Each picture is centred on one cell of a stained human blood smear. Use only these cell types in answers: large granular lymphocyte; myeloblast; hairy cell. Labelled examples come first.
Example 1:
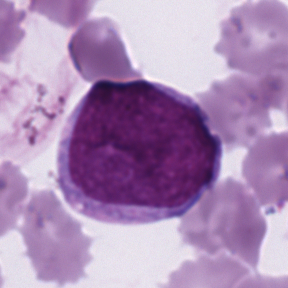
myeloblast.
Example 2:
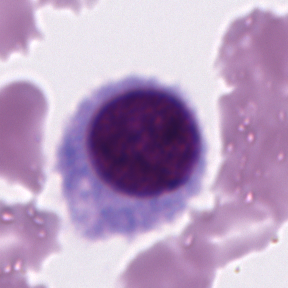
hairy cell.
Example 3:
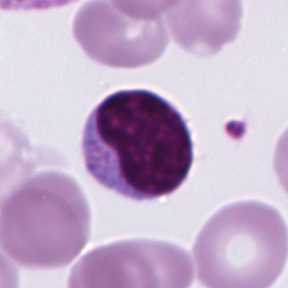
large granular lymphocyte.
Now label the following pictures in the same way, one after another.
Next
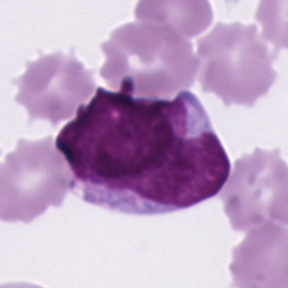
myeloblast.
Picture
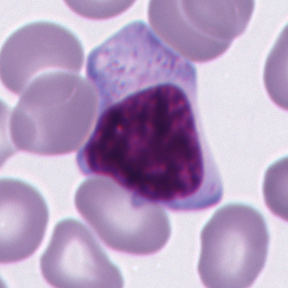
large granular lymphocyte.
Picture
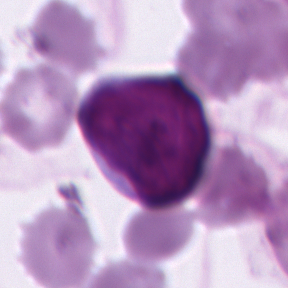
myeloblast.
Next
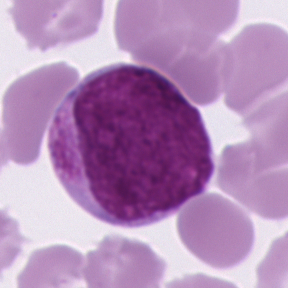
myeloblast.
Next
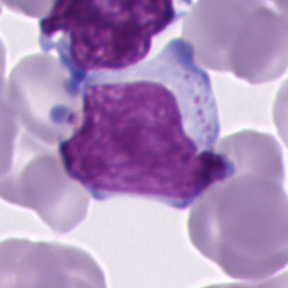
large granular lymphocyte.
